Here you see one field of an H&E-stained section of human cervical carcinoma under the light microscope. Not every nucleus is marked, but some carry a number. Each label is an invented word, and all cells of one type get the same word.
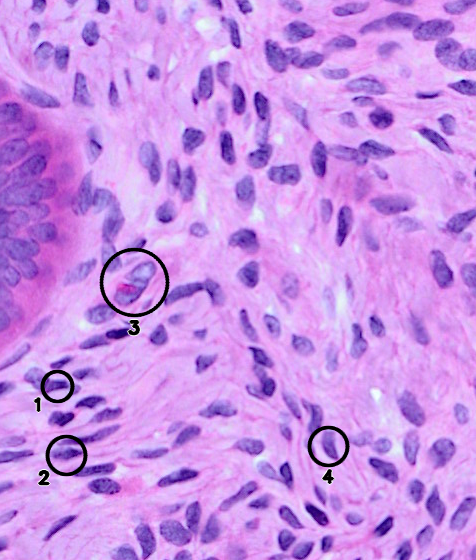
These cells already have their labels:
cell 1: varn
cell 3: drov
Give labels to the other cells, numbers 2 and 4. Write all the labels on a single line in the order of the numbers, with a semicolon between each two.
varn; varn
